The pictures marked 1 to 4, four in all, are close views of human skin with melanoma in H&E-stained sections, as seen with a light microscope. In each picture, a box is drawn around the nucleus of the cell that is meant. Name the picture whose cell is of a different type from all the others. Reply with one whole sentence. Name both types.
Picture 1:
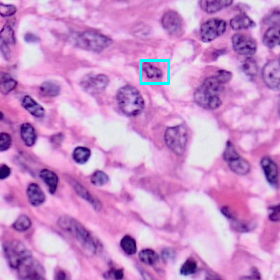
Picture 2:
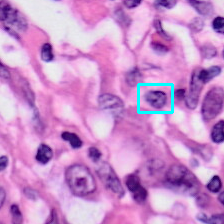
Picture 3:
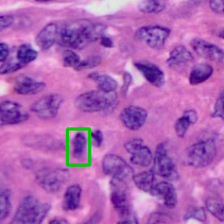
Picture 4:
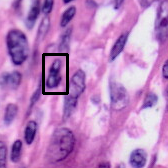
Unlike the rest, which show lymphocytes, picture 1 shows a “macrophage or monocyte”.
